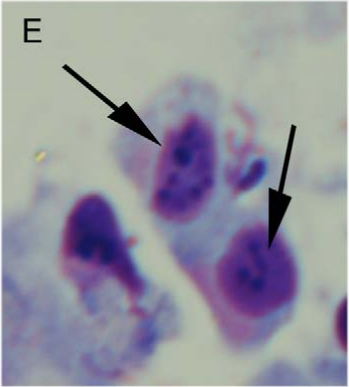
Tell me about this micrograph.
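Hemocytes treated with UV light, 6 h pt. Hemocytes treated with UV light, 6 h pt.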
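Small hyalinocytes with oval purple nuclei and a narrow rim of pale cytoplasm. The nuclei contain several dark, dense clumps of chromatin against a lighter background.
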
